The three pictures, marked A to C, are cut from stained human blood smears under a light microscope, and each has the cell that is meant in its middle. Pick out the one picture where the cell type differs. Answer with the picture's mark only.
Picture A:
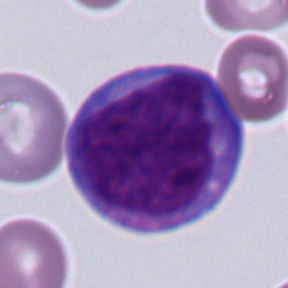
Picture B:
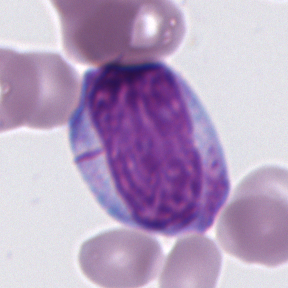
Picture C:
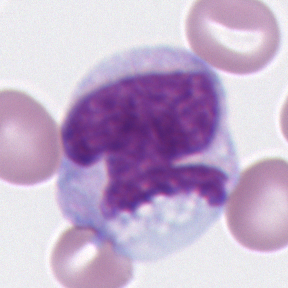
C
